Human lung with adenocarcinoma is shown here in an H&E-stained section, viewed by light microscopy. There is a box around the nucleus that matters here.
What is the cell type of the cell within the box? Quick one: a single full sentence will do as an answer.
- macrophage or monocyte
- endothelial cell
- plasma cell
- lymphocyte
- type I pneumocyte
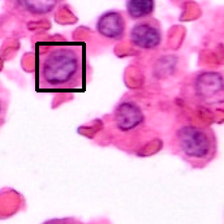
In this preparation, the cell within the box is a macrophage or monocyte.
